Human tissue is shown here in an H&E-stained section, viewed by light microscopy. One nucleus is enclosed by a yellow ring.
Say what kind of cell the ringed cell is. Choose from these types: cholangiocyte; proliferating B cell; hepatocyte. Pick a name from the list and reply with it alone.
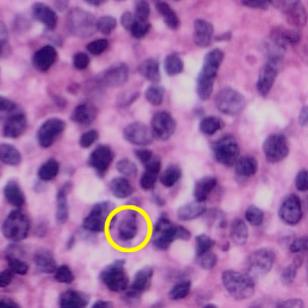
proliferating B cell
